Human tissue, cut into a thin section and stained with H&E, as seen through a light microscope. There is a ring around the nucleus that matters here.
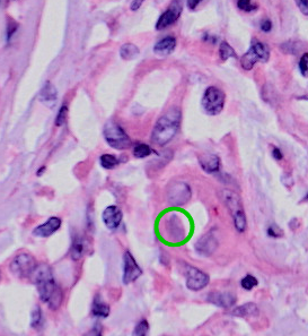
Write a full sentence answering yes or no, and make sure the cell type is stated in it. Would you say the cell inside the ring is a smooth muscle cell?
No, within this section, the cell inside the ring is categorized as an endothelial cell rather than a smooth muscle cell.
